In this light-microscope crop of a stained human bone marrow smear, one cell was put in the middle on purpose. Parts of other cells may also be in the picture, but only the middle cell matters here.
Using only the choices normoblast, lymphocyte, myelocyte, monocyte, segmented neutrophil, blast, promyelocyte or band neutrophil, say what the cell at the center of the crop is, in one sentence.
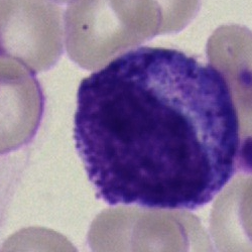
The central cell shown in this smear crop is a myelocyte.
